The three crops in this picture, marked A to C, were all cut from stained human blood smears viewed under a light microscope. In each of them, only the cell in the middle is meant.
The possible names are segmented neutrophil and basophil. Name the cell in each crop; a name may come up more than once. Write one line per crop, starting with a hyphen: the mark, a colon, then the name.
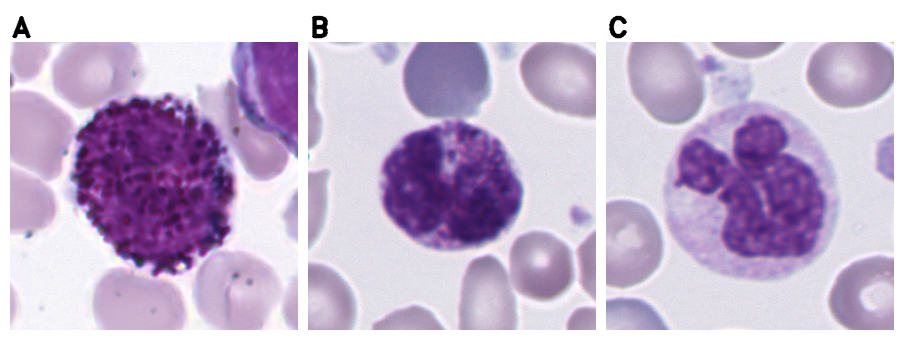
- A: basophil
- B: basophil
- C: segmented neutrophil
